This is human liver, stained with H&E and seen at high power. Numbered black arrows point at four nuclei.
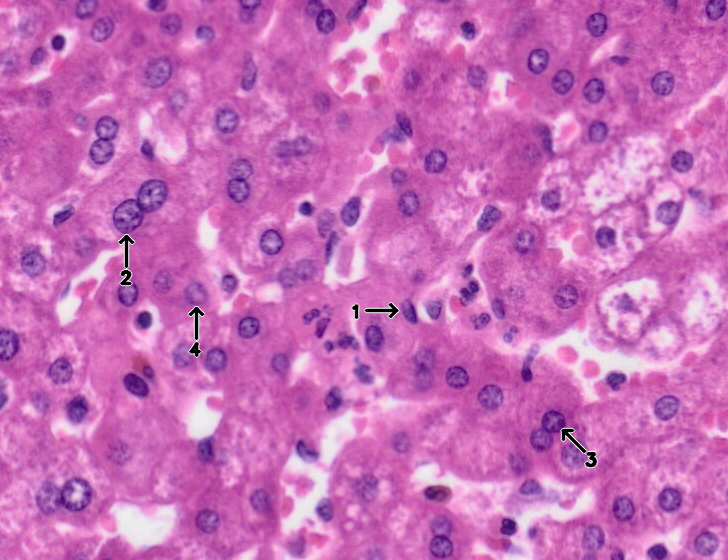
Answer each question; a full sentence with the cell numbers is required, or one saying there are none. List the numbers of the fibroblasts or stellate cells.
Across all the numbered cells, only number 1 is a fibroblast or stellate cell.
